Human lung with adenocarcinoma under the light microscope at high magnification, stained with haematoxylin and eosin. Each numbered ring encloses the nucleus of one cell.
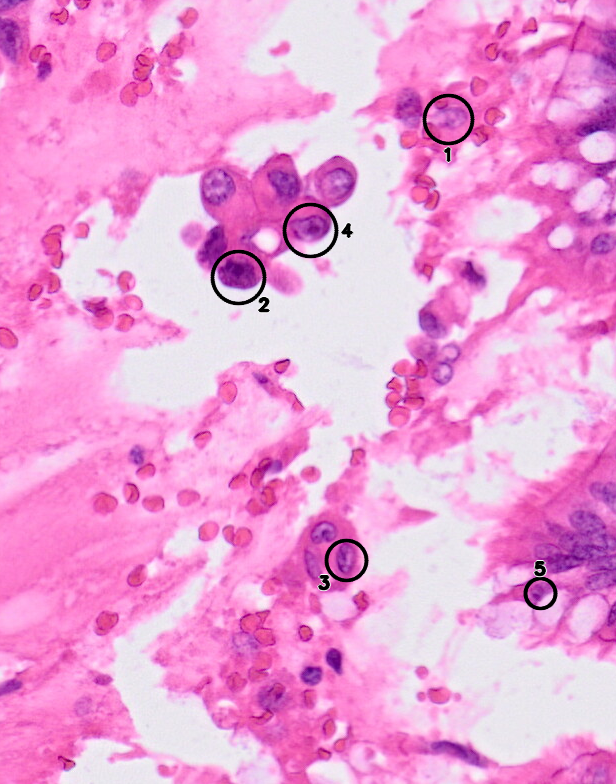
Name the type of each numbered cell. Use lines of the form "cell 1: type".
cell 1: macrophage or monocyte
cell 2: carcinoma cell
cell 3: macrophage or monocyte
cell 4: carcinoma cell
cell 5: ciliated epithelial cell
